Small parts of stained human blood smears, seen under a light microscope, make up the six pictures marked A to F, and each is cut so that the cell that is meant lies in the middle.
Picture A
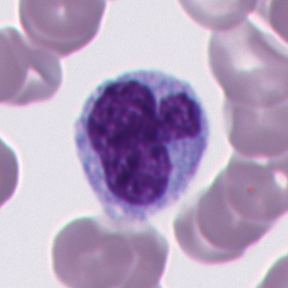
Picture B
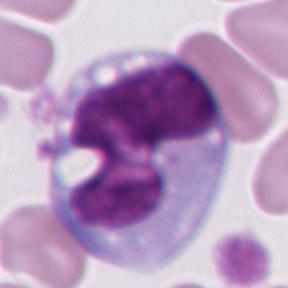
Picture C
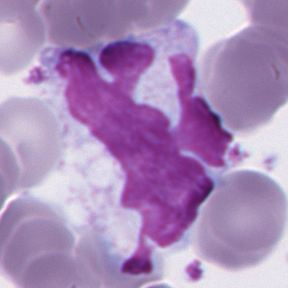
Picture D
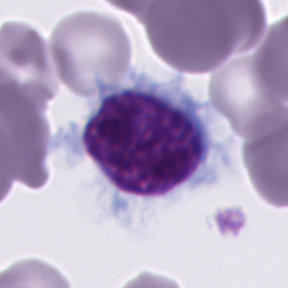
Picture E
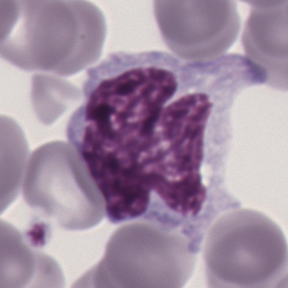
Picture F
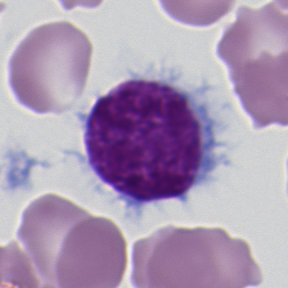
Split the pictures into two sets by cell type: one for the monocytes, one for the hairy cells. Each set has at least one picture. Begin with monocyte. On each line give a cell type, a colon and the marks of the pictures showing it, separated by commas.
monocyte: A, B, C, E
hairy cell: D, F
